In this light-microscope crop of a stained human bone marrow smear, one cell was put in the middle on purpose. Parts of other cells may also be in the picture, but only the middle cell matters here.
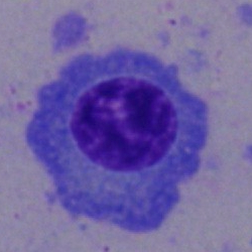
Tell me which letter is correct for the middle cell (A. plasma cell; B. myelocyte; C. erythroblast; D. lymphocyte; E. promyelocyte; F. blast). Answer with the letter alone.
A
